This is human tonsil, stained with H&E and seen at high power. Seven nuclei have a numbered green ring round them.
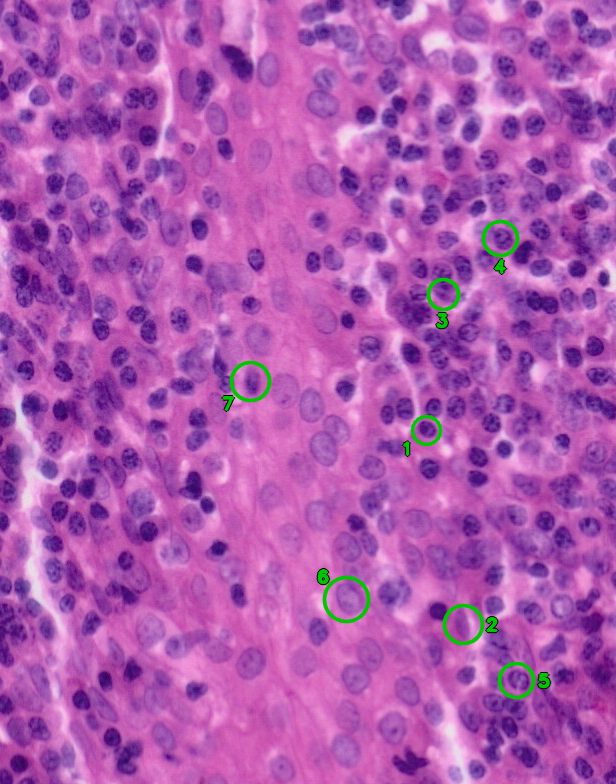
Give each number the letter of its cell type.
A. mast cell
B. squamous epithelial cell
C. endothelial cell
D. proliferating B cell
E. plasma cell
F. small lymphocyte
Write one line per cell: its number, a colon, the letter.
1: E
2: B
3: E
4: E
5: E
6: B
7: B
